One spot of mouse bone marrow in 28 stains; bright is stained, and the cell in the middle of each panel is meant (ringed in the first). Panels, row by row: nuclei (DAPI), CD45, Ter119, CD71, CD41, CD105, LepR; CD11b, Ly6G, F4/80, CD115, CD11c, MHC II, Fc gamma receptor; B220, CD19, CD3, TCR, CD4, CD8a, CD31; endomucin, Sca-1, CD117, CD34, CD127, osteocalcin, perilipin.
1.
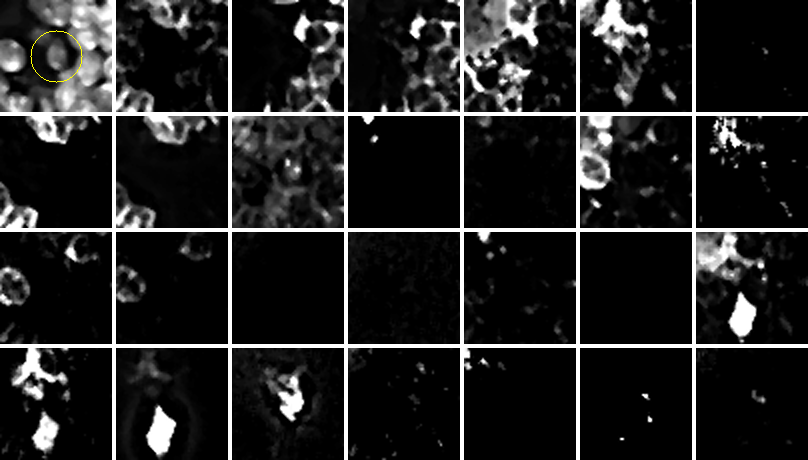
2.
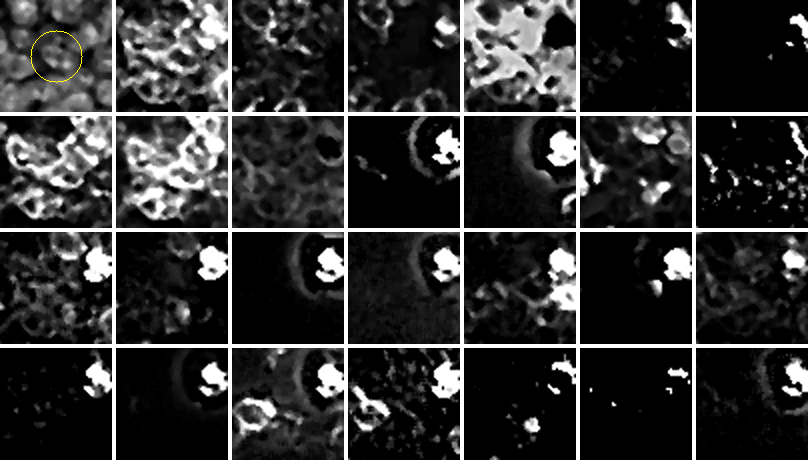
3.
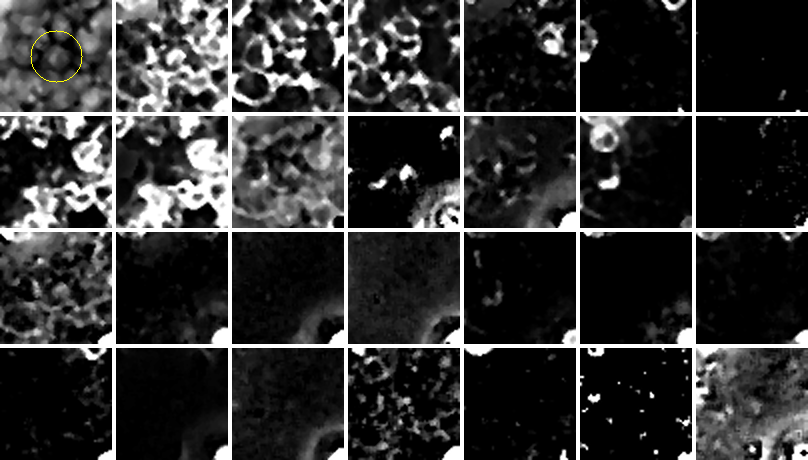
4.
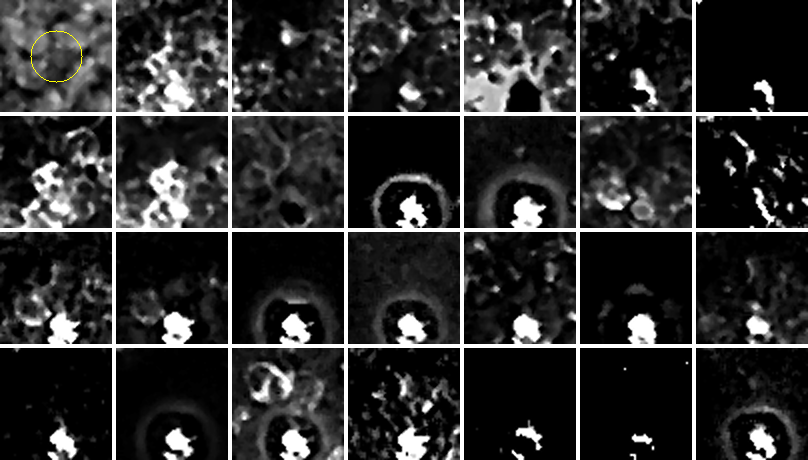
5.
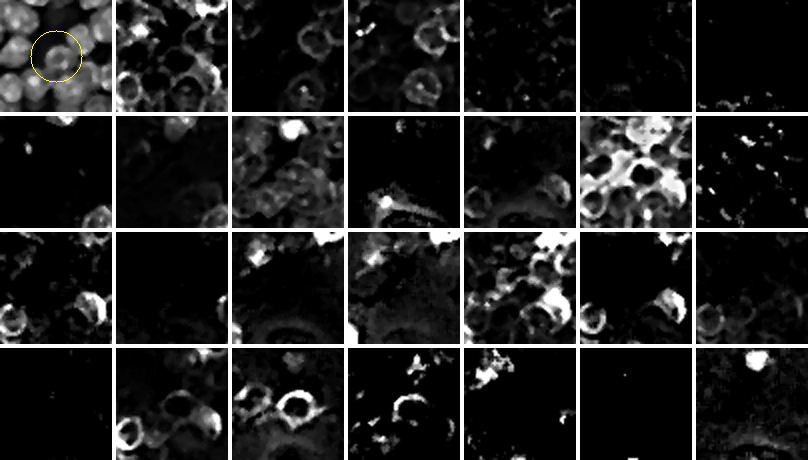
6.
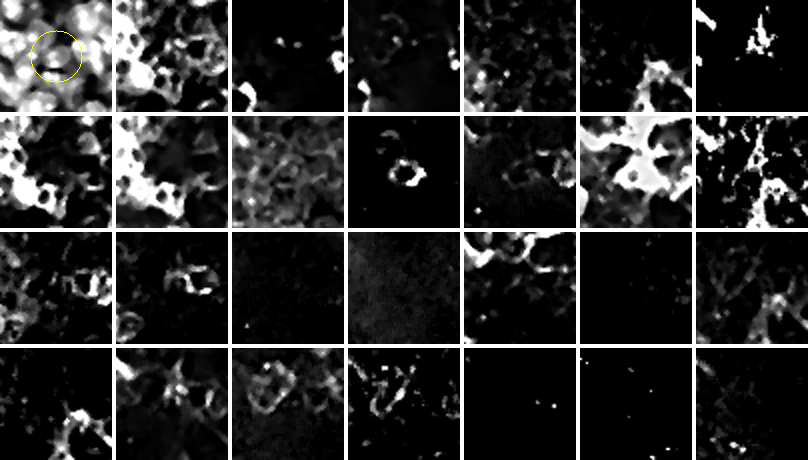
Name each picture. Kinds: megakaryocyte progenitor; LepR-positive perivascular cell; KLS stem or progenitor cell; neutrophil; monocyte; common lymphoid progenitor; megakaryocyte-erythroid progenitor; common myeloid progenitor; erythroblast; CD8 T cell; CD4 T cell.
Picture 1: KLS stem or progenitor cell
Picture 2: megakaryocyte progenitor
Picture 3: monocyte
Picture 4: megakaryocyte progenitor
Picture 5: common myeloid progenitor
Picture 6: LepR-positive perivascular cell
